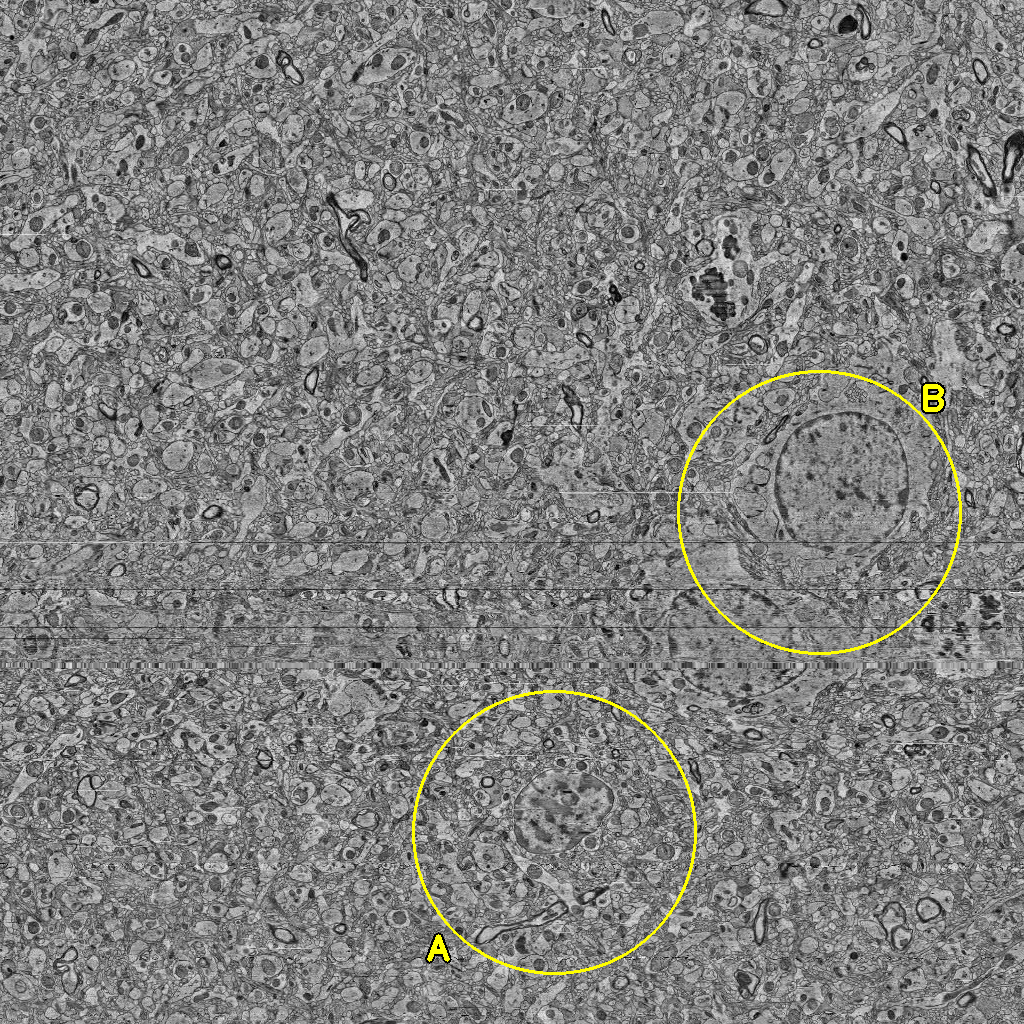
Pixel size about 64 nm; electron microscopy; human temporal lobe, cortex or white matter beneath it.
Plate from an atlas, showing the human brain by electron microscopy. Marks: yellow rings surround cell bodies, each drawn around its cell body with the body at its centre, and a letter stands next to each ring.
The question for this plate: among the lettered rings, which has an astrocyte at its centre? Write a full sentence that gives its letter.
Ring B holds at its centre the cell that the question asks about in the picture.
